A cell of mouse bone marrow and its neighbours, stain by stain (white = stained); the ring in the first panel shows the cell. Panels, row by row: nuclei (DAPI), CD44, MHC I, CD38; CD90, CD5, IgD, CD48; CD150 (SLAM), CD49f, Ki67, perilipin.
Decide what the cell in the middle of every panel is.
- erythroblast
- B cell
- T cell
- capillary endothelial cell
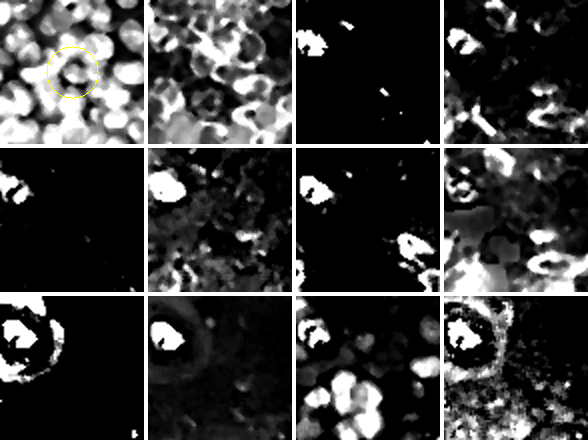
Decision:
erythroblast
